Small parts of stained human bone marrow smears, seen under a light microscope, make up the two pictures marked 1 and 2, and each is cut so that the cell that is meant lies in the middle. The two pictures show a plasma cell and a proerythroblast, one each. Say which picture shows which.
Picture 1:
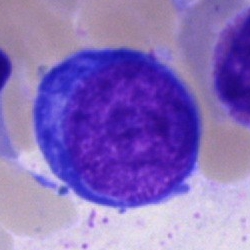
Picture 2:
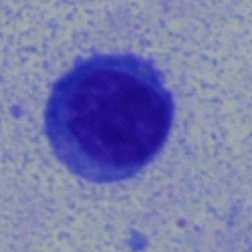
1: proerythroblast
2: plasma cell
